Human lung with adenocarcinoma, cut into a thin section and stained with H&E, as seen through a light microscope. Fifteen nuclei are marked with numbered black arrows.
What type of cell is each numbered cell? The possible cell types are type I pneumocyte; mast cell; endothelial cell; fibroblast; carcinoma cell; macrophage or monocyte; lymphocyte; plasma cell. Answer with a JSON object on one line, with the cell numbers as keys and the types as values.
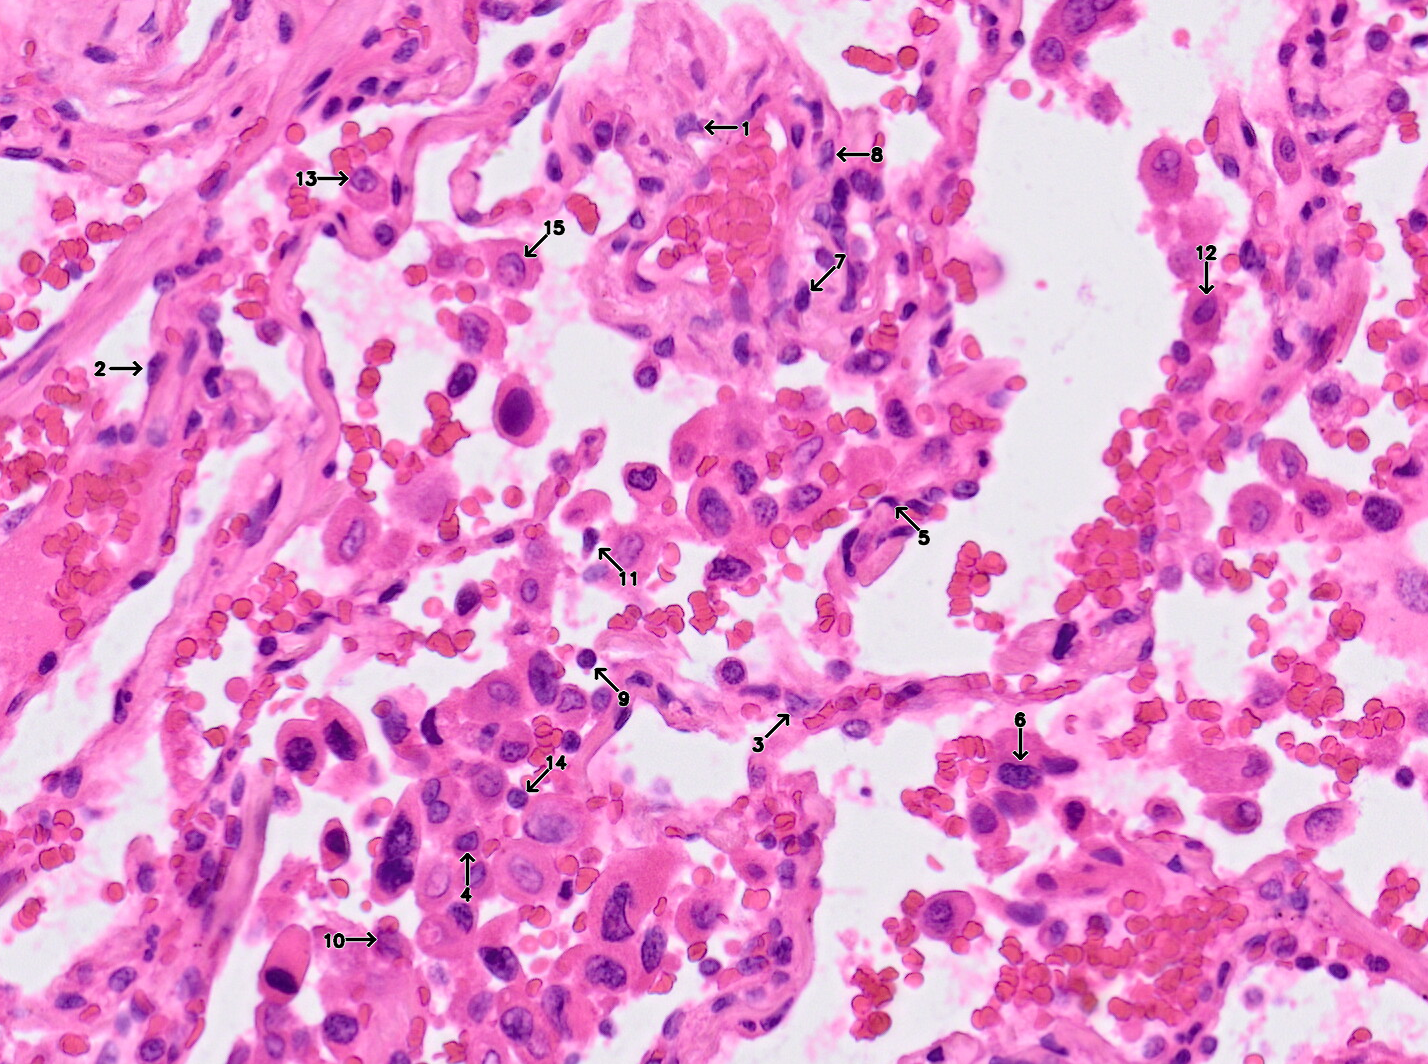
{"1": "fibroblast", "2": "type I pneumocyte", "3": "type I pneumocyte", "4": "macrophage or monocyte", "5": "endothelial cell", "6": "carcinoma cell", "7": "plasma cell", "8": "fibroblast", "9": "lymphocyte", "10": "macrophage or monocyte", "11": "lymphocyte", "12": "macrophage or monocyte", "13": "macrophage or monocyte", "14": "lymphocyte", "15": "macrophage or monocyte"}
